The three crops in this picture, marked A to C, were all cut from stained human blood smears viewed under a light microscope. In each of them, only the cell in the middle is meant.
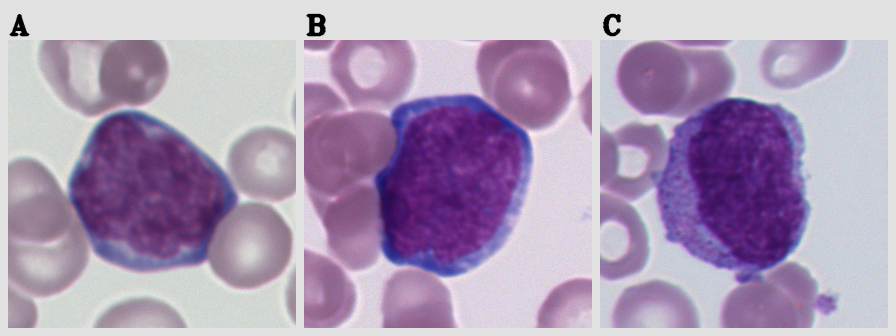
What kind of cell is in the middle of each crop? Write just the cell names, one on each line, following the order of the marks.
myeloblast
myeloblast
atypical promyelocyte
